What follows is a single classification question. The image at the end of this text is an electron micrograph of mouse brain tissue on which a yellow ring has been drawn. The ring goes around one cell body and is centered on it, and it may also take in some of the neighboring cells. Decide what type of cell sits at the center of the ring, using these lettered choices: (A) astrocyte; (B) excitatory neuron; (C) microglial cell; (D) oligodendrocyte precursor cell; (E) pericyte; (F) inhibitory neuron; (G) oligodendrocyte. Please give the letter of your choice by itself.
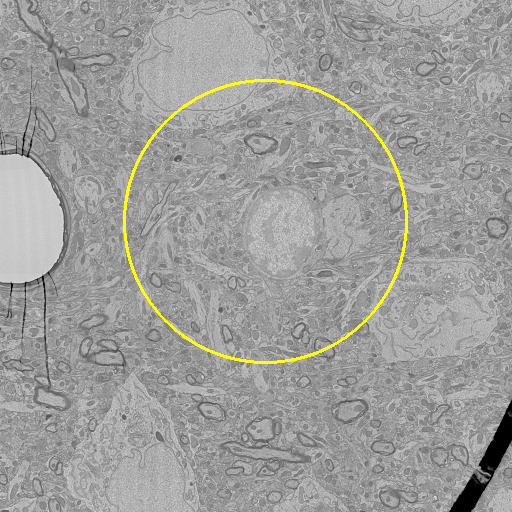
G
